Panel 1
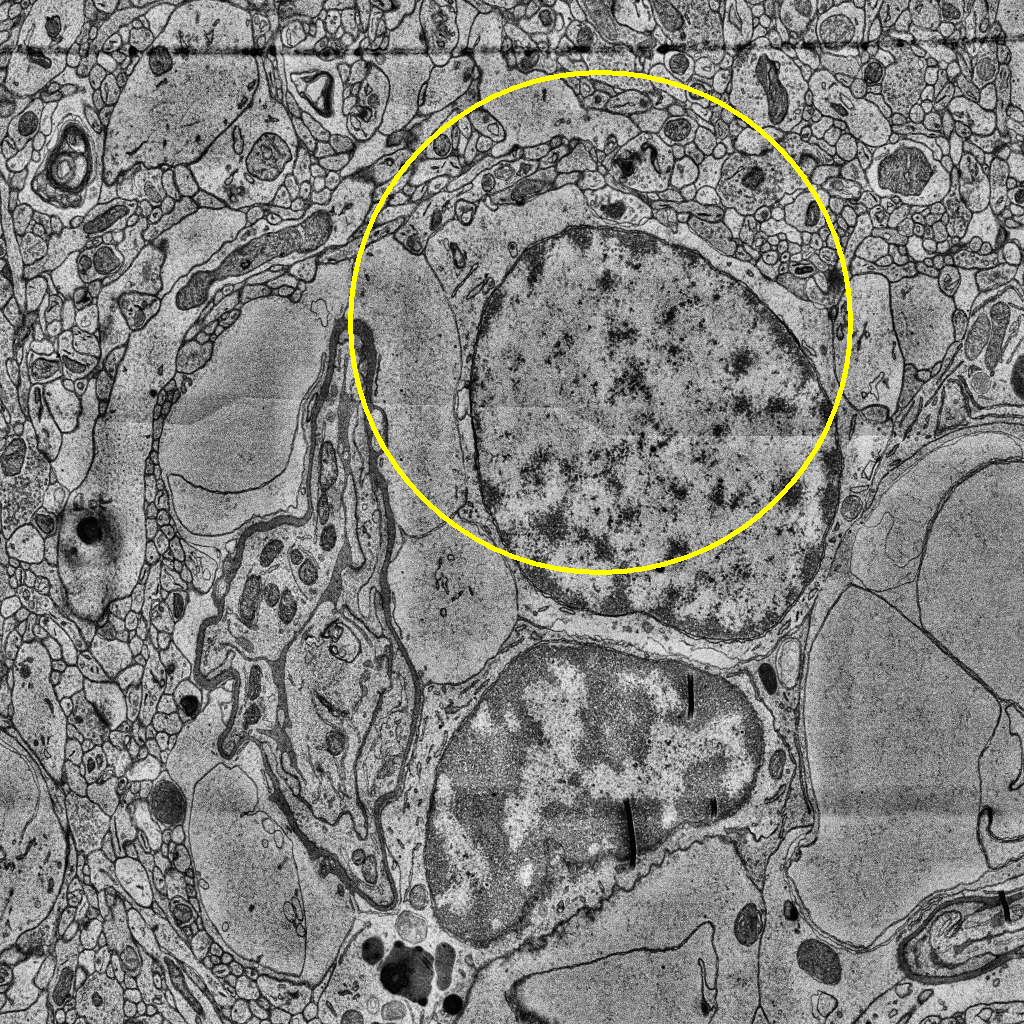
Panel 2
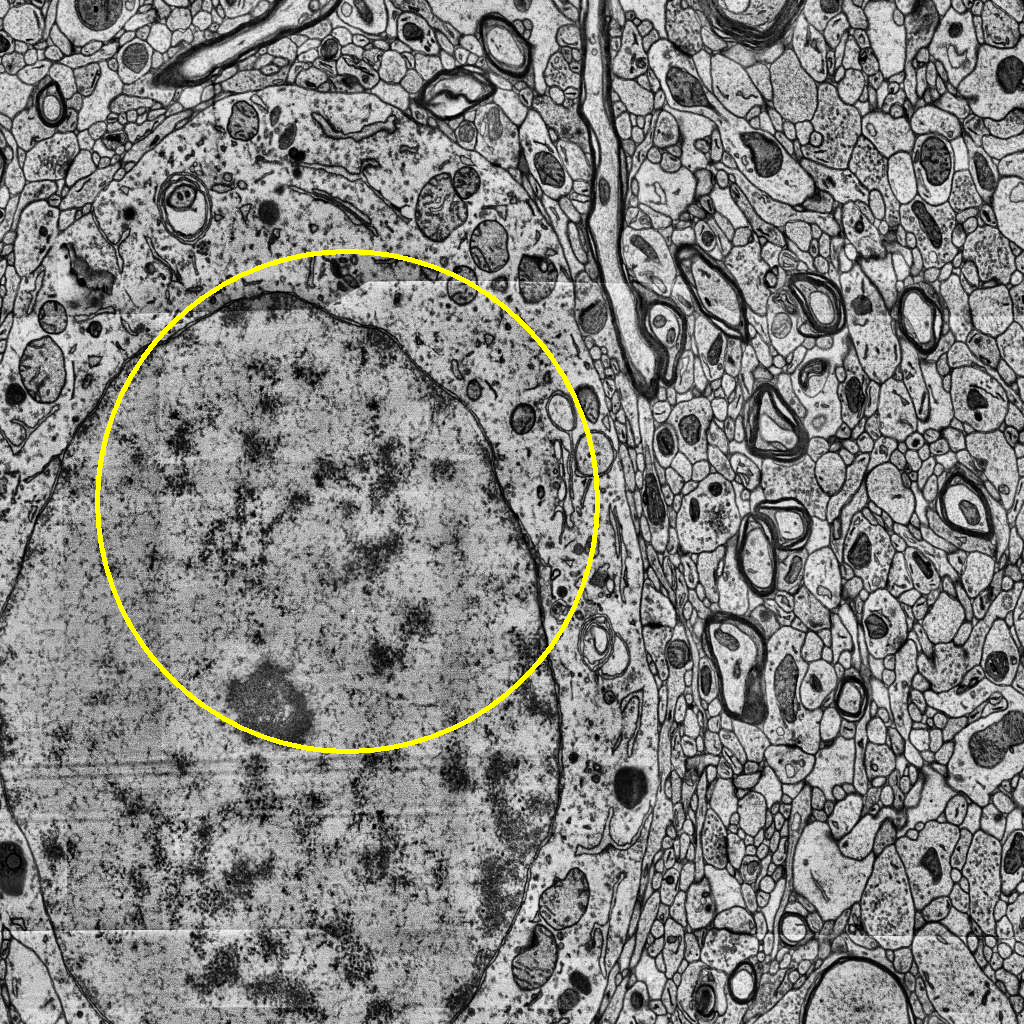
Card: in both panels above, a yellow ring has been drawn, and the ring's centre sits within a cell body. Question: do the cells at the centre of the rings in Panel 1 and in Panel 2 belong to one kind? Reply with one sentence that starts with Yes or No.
No, the cells at the ring centres of Panel 1 and Panel 2 are two kinds of cell.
